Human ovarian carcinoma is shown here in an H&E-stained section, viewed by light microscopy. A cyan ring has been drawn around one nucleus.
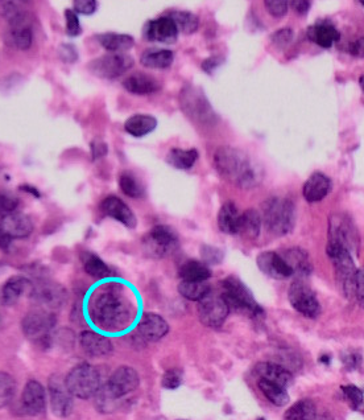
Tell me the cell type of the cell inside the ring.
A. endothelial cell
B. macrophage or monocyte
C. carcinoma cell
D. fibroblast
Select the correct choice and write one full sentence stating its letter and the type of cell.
The right option is C, the cell inside the ring being a carcinoma cell.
